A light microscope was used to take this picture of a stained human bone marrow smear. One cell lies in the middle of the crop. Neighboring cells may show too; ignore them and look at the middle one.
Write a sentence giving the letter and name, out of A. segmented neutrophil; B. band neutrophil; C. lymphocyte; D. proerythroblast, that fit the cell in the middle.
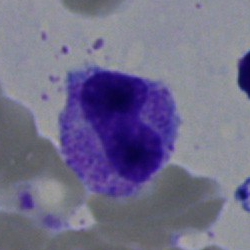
The cell in the middle is a band neutrophil, and so option B is correct.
